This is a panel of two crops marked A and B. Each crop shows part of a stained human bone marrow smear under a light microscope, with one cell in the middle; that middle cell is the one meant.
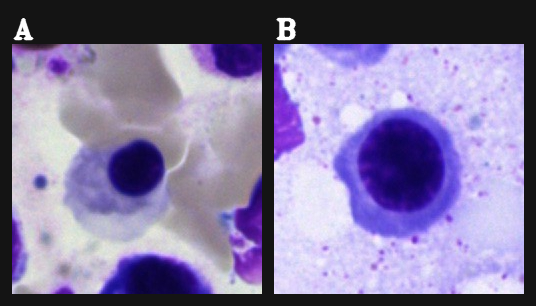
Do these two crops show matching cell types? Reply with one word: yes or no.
yes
